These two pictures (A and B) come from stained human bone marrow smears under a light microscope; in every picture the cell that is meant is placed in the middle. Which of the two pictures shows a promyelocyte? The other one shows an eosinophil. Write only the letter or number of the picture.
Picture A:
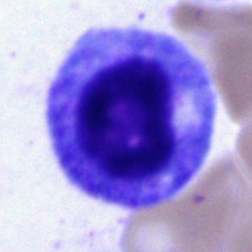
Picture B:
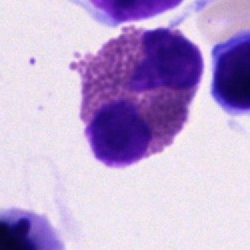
A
